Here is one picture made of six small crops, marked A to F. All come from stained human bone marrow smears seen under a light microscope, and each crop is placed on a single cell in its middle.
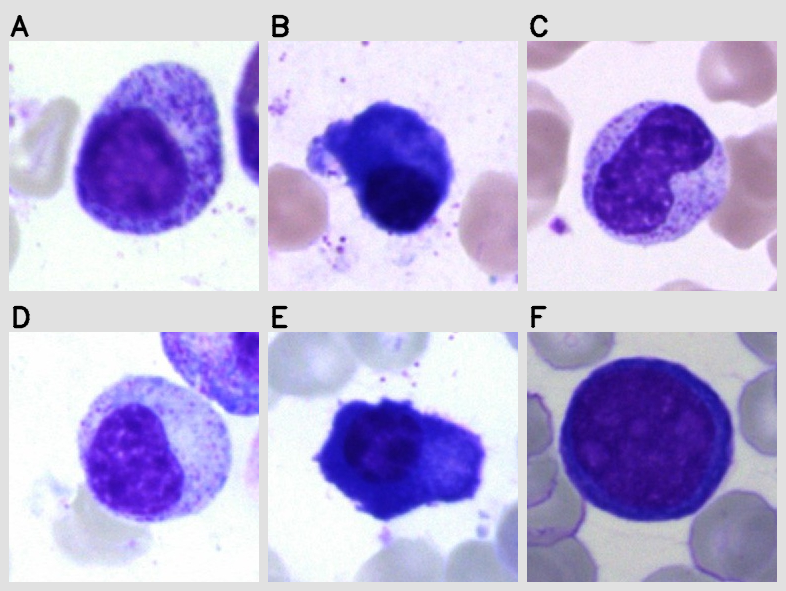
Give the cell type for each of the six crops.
A: myelocyte
B: plasma cell
C: metamyelocyte
D: metamyelocyte
E: plasma cell
F: proerythroblast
